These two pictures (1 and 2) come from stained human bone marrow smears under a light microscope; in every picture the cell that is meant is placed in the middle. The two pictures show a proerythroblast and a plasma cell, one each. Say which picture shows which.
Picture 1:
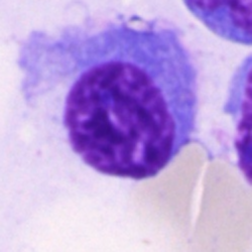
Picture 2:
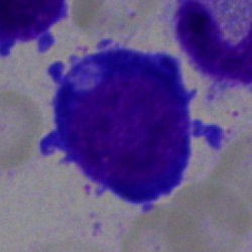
1: plasma cell
2: proerythroblast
